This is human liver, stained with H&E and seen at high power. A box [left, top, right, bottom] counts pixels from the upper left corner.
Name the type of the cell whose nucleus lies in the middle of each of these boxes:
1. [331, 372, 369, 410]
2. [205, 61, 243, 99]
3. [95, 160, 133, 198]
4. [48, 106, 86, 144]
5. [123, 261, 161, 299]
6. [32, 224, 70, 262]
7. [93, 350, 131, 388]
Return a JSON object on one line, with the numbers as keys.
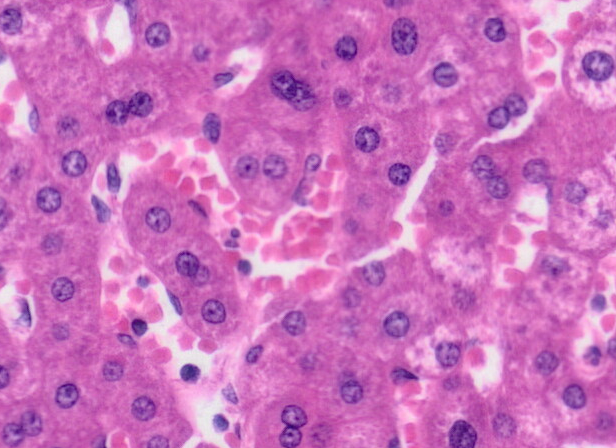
{"1": "hepatocyte", "2": "Kupffer cell", "3": "Kupffer cell", "4": "hepatocyte", "5": "lymphocyte", "6": "hepatocyte", "7": "hepatocyte"}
